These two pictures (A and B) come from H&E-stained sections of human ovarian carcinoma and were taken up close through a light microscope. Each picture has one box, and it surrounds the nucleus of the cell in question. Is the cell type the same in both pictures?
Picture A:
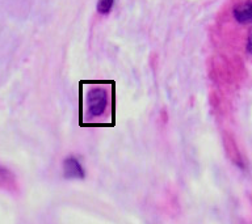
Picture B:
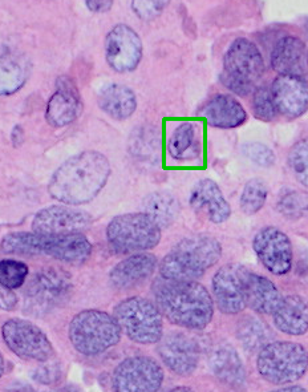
yes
